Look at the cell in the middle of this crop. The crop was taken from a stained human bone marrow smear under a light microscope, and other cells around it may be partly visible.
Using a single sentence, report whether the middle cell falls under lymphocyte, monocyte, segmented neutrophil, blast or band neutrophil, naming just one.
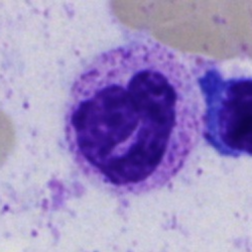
The cell around which this crop is centred is a segmented neutrophil.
